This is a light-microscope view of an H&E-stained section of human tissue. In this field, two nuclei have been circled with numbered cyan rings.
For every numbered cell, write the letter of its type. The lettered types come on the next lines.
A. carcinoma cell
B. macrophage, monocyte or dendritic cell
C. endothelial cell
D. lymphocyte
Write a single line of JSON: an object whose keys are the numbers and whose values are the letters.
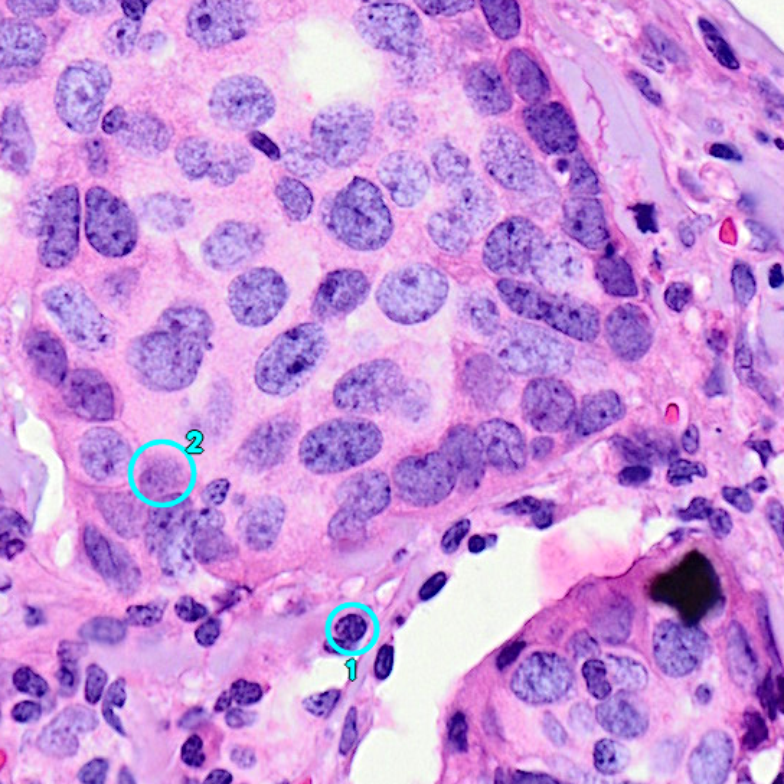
{"1": "D", "2": "A"}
